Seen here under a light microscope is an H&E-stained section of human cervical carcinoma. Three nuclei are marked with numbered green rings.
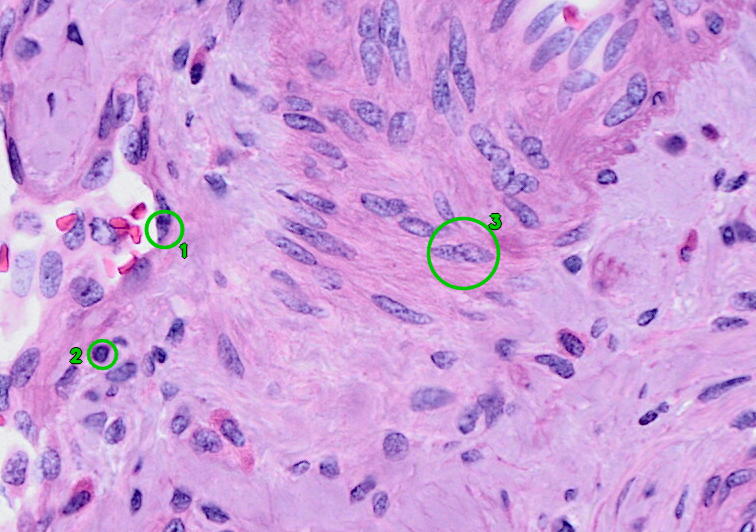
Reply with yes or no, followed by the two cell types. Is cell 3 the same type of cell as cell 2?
Yes, both are smooth muscle cells.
